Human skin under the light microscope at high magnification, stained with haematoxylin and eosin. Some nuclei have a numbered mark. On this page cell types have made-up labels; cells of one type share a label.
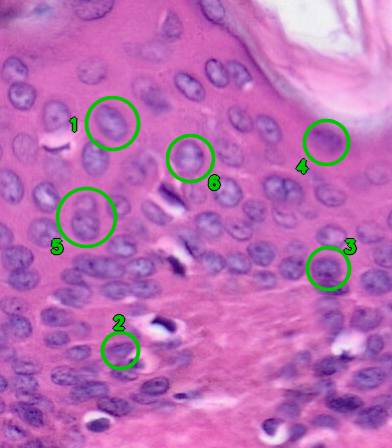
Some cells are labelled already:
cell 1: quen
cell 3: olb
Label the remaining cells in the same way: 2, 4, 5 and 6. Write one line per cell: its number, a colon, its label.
2: olb
4: quen
5: quen
6: quen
